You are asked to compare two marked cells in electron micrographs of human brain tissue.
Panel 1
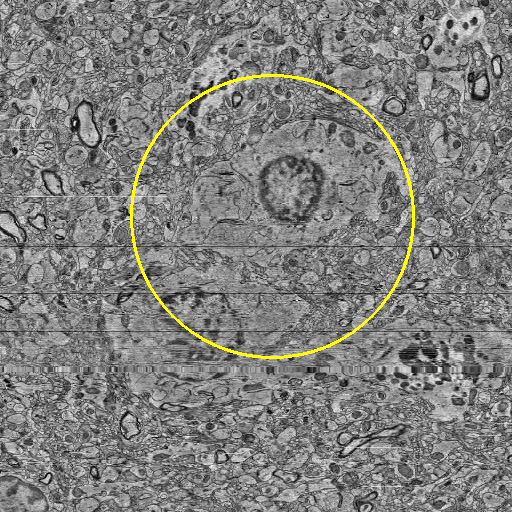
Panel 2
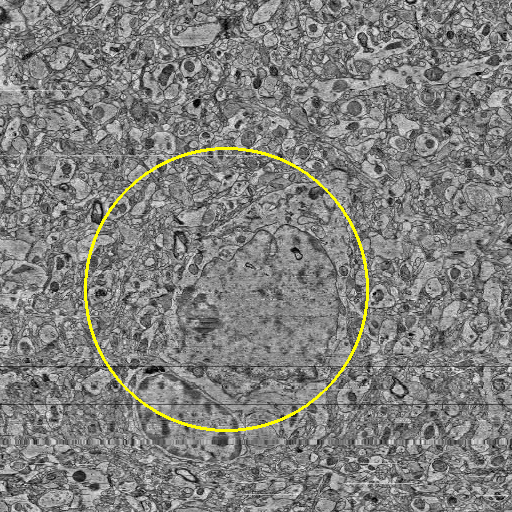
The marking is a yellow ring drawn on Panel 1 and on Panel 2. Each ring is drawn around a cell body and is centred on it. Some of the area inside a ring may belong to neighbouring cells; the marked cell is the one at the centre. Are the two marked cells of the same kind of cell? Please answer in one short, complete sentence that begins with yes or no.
No, the two marked cells are of two kinds.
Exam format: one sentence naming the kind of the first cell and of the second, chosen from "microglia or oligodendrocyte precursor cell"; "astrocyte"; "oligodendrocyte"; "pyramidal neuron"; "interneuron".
The first picture's cell is an astrocyte, and the second picture's cell is an interneuron.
